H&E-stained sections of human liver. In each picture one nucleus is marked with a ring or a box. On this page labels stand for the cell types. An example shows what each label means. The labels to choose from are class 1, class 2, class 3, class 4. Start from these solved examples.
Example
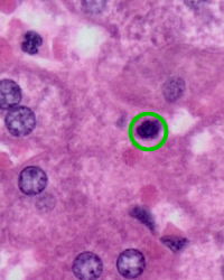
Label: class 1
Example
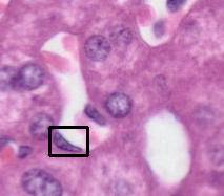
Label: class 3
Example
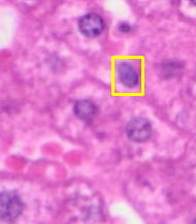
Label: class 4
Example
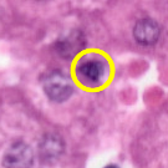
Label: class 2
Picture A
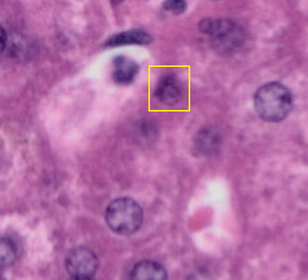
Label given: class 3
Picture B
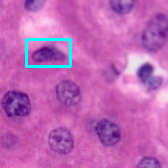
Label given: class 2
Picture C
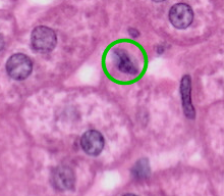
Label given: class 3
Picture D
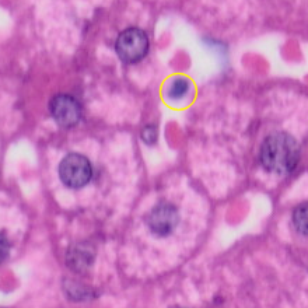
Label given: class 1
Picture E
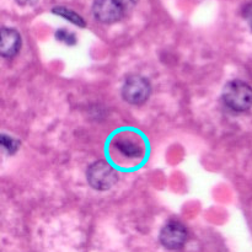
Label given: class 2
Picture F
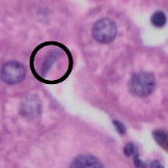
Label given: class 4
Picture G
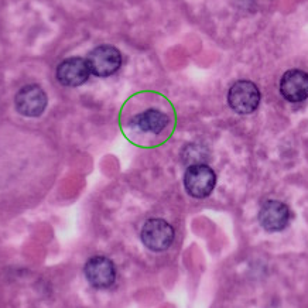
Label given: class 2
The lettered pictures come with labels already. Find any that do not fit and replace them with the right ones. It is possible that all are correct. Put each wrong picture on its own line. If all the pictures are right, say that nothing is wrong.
A: not class 3 but class 2
F: not class 4 but class 3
